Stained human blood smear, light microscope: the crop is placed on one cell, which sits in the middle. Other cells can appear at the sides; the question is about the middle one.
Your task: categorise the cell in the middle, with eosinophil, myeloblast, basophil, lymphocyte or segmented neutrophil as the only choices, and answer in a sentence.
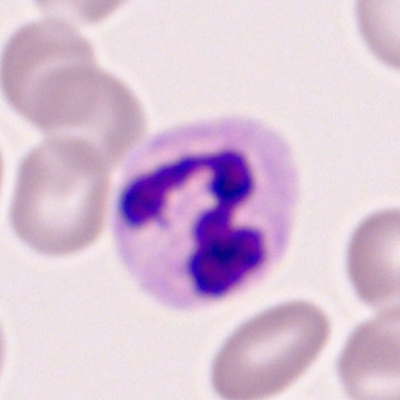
Located at the centre of the crop is a segmented neutrophil.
